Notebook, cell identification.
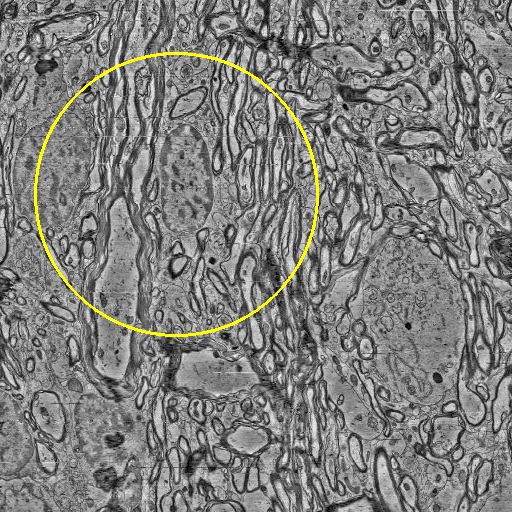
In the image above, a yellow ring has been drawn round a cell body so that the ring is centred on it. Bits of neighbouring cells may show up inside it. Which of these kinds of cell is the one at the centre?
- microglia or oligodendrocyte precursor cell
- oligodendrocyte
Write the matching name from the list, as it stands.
microglia or oligodendrocyte precursor cell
